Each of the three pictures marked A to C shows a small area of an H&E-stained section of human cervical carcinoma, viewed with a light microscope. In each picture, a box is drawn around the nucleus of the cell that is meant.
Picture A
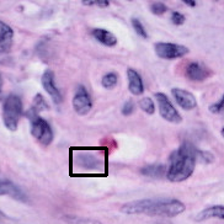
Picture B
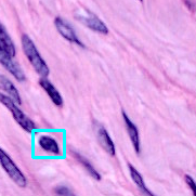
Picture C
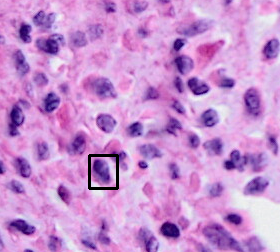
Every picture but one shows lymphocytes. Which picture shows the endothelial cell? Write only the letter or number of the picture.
A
